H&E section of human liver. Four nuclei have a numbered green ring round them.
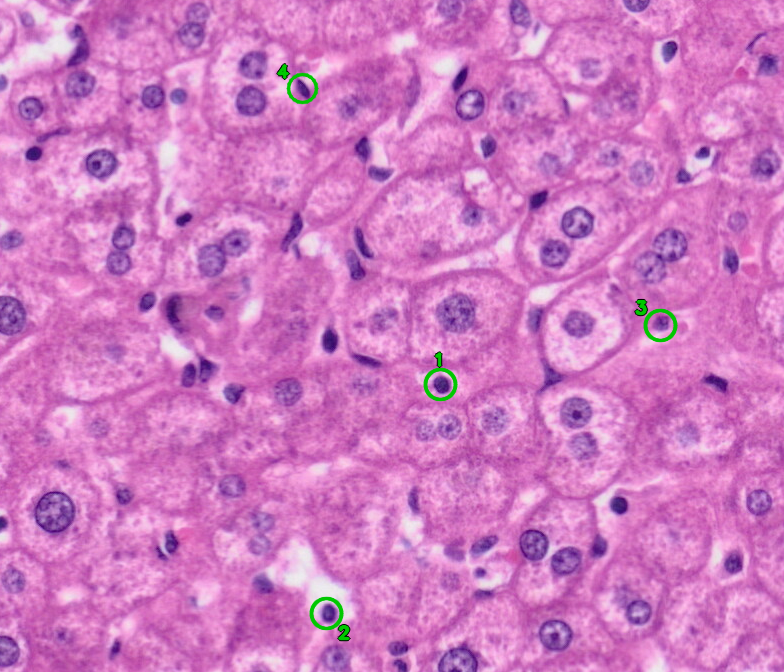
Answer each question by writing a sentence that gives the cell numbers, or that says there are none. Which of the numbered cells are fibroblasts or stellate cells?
Of the cells carrying numbers, just cell 4 is a fibroblast or stellate cell.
